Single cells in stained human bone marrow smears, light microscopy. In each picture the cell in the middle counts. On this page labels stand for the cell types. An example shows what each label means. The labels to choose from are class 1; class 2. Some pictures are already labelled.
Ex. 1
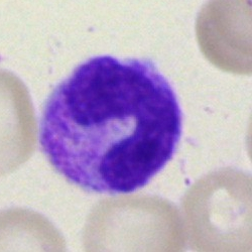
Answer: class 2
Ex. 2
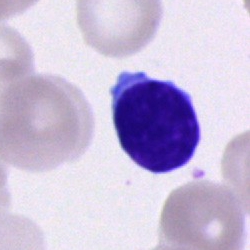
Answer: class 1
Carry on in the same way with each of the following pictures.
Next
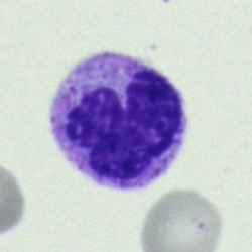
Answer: class 2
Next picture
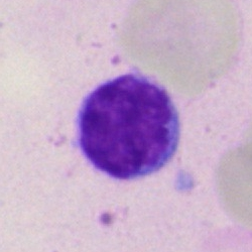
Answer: class 1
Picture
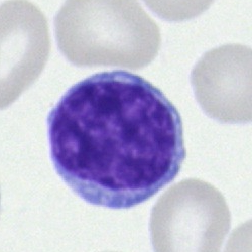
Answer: class 1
